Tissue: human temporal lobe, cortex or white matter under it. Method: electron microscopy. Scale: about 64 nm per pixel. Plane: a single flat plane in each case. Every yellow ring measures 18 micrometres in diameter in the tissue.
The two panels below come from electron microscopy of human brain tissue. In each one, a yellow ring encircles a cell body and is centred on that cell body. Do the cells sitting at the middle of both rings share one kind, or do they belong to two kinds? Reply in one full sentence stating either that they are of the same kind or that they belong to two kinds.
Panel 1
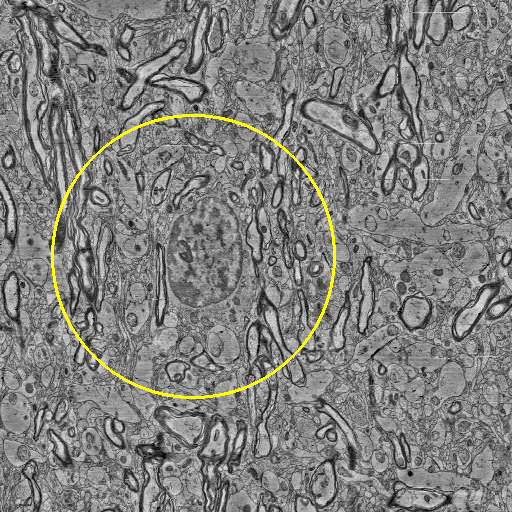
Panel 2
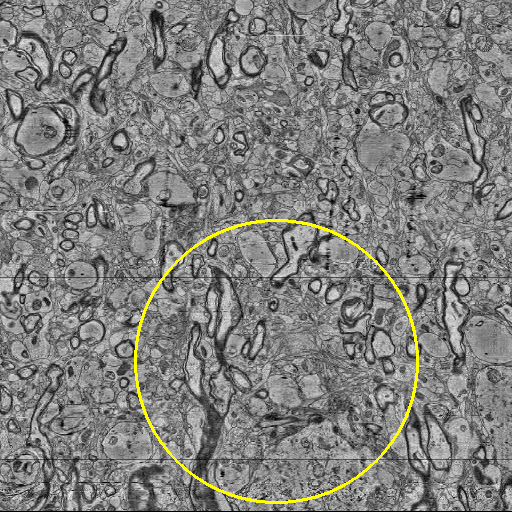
The cells at the centres of the two rings are of the same kind.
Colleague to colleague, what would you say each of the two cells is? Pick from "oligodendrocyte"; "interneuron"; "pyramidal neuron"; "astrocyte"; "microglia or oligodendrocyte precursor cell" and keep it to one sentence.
In both pictures the ring is centred on an oligodendrocyte.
